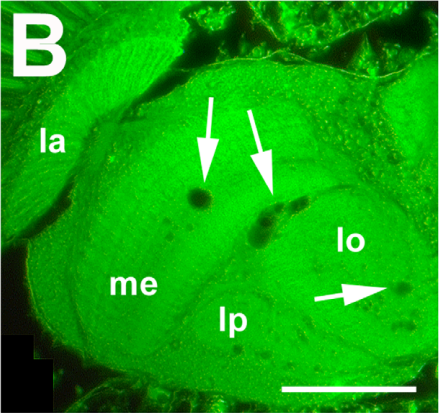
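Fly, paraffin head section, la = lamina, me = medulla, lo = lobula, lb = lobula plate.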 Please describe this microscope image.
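The neuropil appears as an evenly fine-grained green tissue, with the regions separated by faint boundaries. A few smaller dark spots lie scattered elsewhere in the section.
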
